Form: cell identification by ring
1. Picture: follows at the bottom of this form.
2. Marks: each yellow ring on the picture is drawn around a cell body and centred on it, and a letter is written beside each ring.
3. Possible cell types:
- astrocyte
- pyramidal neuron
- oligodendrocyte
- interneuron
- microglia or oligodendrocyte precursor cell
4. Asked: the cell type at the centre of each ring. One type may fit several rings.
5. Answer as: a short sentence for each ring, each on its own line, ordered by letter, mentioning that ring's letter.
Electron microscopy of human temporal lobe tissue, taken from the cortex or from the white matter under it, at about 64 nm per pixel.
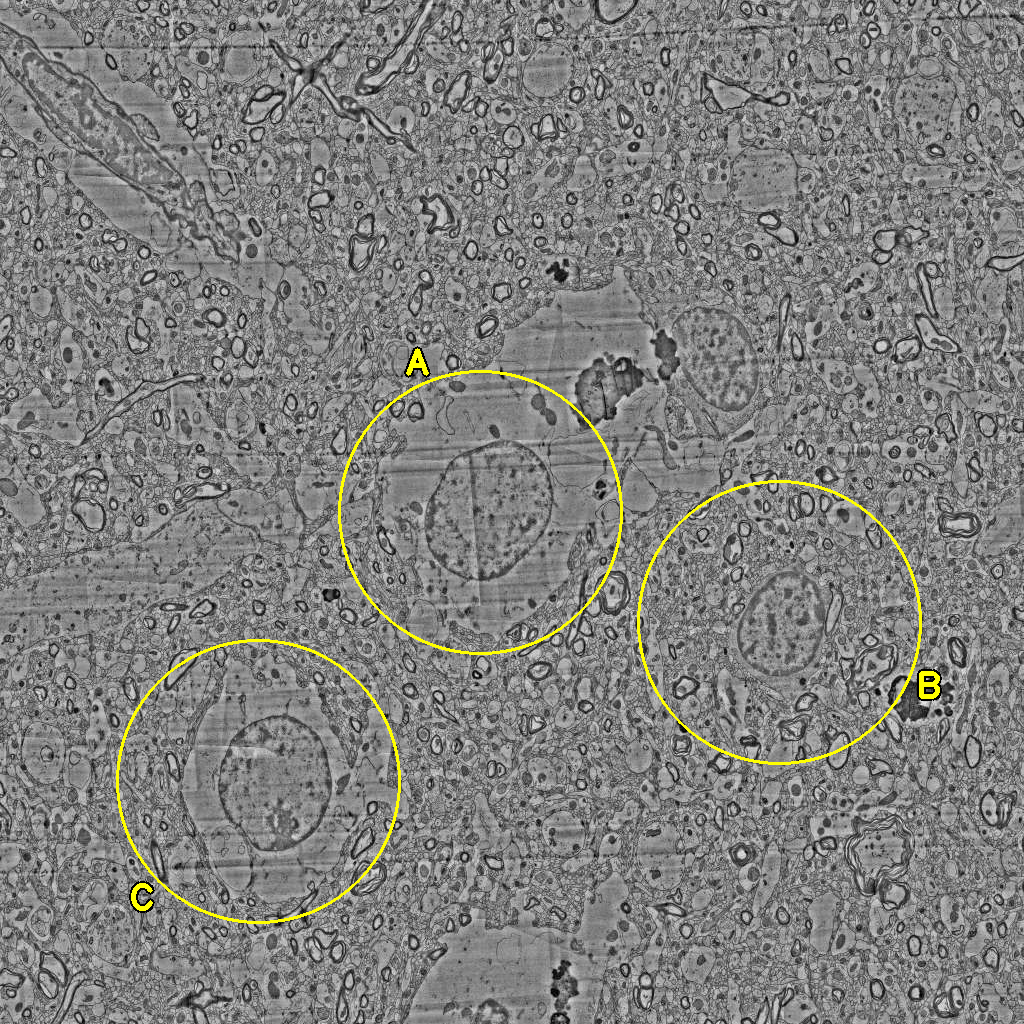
The cell at ring A's centre is an astrocyte.
The cell at ring B's centre is an oligodendrocyte.
The cell at ring C's centre is an astrocyte.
